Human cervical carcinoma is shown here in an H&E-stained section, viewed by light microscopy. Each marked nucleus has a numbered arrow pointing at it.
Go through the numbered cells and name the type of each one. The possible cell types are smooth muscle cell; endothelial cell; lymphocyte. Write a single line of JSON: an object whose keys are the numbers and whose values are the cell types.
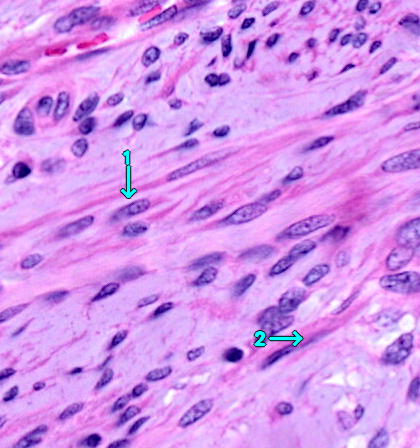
{"1": "smooth muscle cell", "2": "endothelial cell"}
